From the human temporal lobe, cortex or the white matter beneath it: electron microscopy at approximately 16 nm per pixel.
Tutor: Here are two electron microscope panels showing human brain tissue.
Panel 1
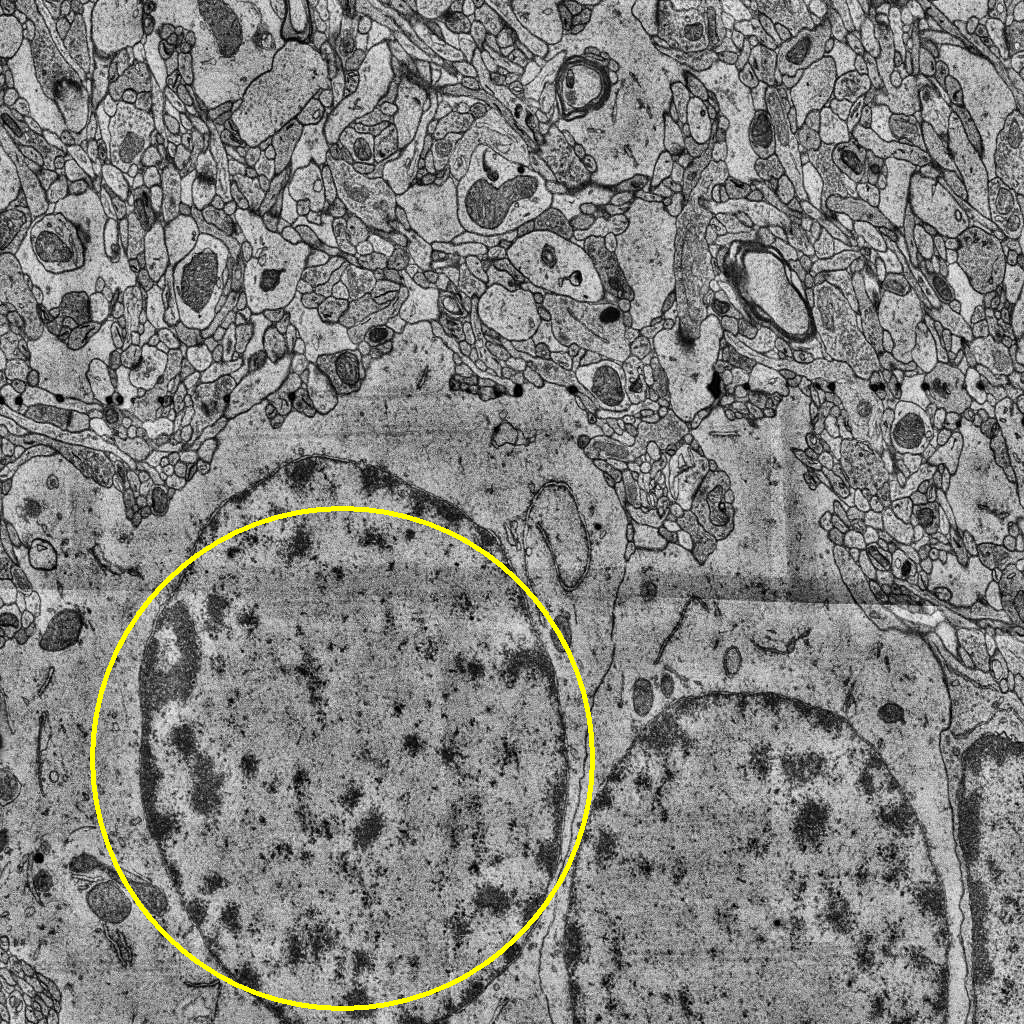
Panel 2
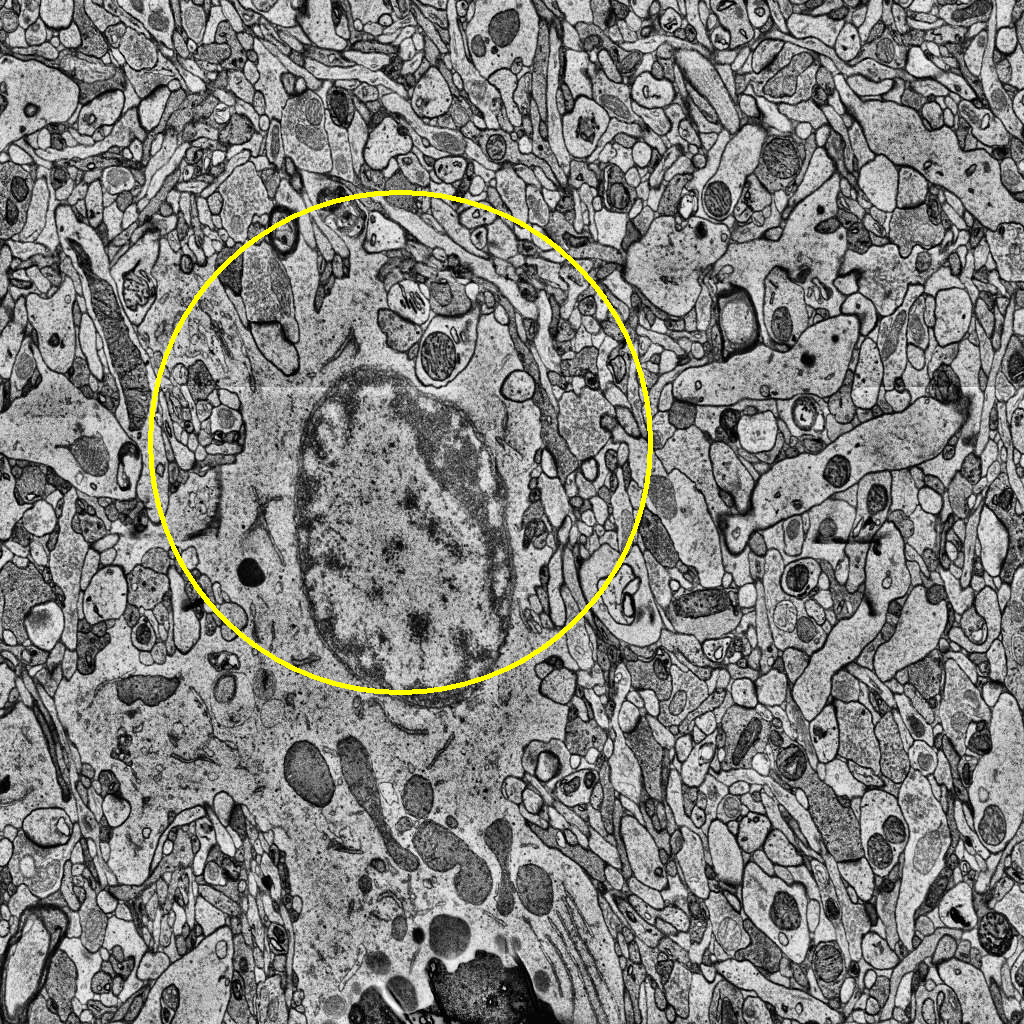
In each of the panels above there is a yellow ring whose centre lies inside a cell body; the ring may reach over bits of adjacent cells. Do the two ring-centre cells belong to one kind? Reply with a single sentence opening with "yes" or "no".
Yes, the two cells lying at the ring centres in the panels belong to one kind.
